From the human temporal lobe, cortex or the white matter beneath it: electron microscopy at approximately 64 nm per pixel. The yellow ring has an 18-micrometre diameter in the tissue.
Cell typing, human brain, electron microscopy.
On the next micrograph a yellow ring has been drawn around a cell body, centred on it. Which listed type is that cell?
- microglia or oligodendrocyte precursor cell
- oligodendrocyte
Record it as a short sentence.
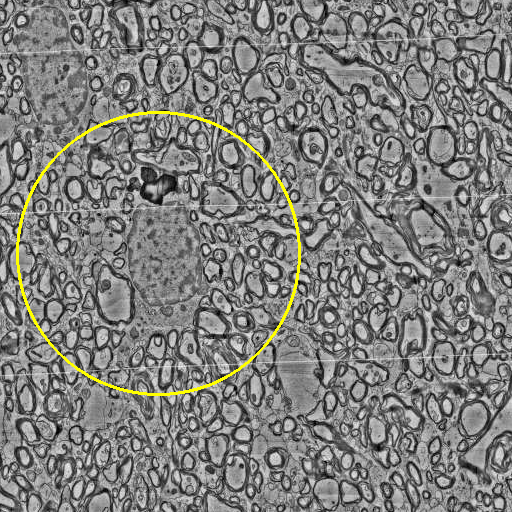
The cell body in the ring's centre belongs to an oligodendrocyte.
